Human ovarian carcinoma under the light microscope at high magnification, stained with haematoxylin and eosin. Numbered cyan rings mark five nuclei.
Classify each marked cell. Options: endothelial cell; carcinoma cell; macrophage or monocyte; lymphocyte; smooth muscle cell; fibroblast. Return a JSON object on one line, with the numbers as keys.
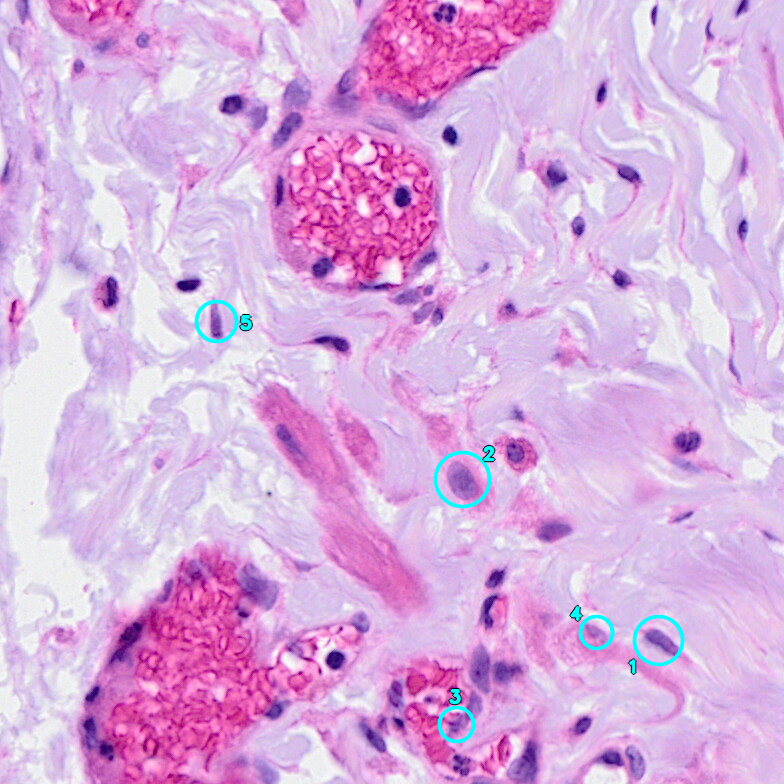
{"1": "fibroblast", "2": "smooth muscle cell", "3": "endothelial cell", "4": "smooth muscle cell", "5": "fibroblast"}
